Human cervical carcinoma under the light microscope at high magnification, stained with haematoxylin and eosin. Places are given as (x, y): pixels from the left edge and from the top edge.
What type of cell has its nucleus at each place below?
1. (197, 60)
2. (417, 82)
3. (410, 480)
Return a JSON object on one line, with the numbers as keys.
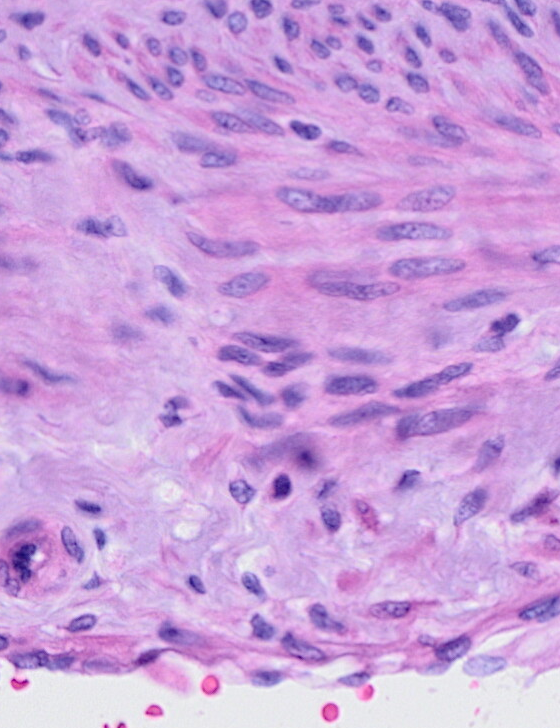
{"1": "smooth muscle cell", "2": "smooth muscle cell", "3": "fibroblast"}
